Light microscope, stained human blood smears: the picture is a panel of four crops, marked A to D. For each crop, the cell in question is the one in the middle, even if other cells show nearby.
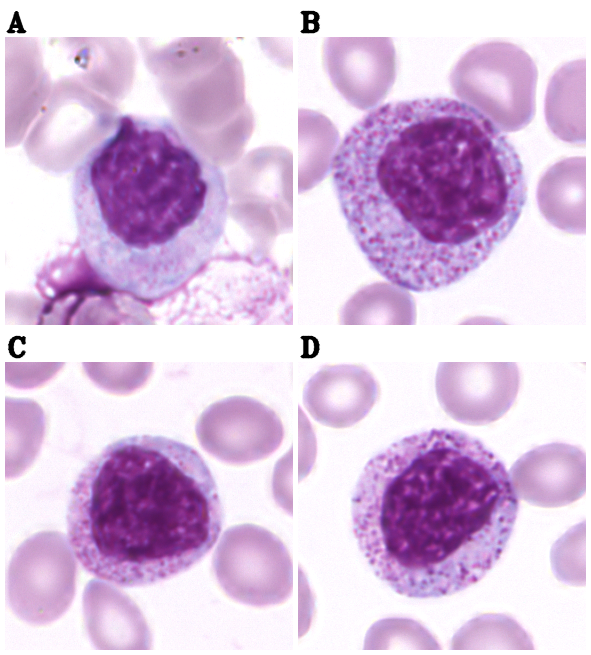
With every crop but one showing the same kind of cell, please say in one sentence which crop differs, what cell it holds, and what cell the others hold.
Crop D differs: it is a metamyelocyte, and all the other crops show myelocytes.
